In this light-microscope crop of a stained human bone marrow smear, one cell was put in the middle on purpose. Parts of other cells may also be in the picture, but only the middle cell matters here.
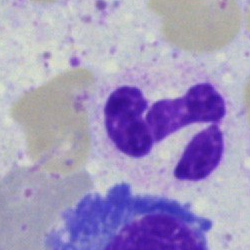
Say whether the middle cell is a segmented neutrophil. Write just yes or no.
yes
